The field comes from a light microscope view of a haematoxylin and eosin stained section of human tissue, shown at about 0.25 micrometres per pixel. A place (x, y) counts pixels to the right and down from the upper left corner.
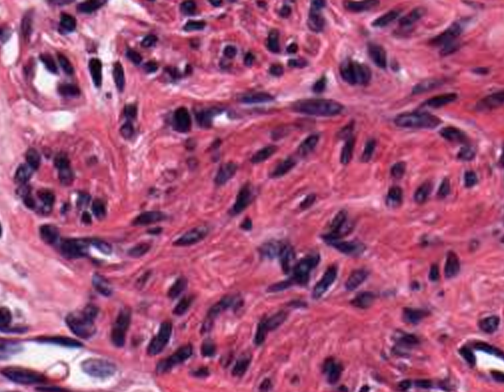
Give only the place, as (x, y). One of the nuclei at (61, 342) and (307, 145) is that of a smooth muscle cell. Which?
(307, 145)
